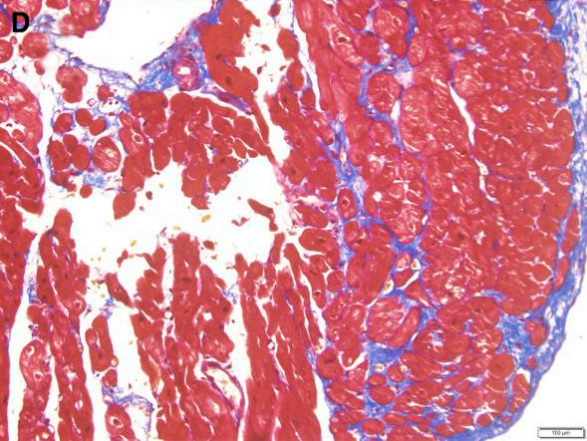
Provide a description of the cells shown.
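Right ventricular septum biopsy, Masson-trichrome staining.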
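Some fibres appear pale or vacuolated in their centres. A clear space separates groups of fibres in the upper left.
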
